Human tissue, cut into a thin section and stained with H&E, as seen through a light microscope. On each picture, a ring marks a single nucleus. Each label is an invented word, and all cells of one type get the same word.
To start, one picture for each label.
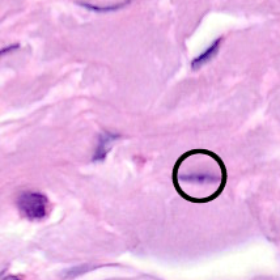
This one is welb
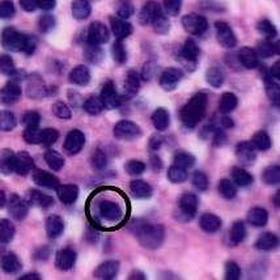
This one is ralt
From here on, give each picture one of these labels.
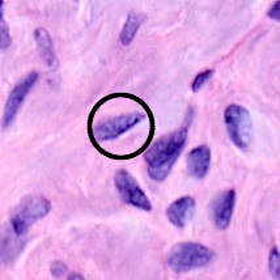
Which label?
welb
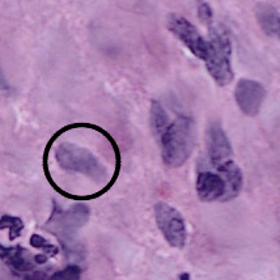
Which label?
welb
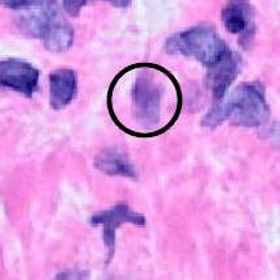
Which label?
welb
